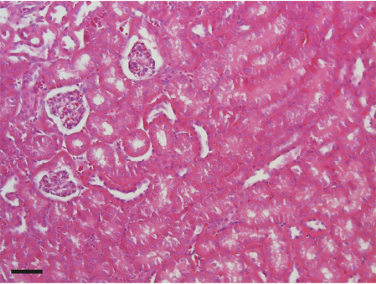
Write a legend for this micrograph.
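This section of kidney shows closely packed tubules and several glomeruli. The glomeruli are rounded tufts of capillaries with purple nuclei, each surrounded by a thin clear space within its capsule. The tubules are lined by cuboidal epithelial cells with pink, eosinophilic cytoplasm and round purple nuclei. Tubular lumina are narrow and the tubules lie tightly against one another with little interstitial tissue between them.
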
